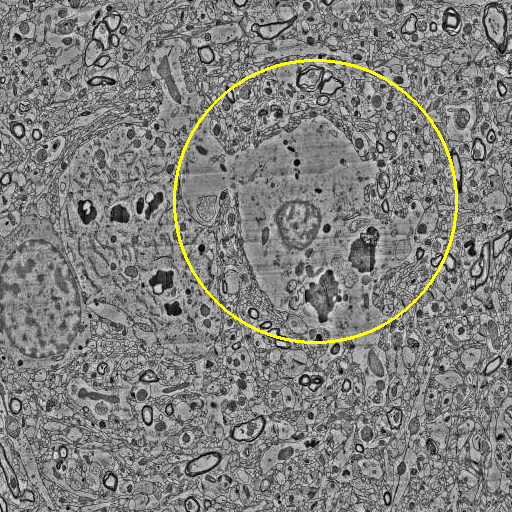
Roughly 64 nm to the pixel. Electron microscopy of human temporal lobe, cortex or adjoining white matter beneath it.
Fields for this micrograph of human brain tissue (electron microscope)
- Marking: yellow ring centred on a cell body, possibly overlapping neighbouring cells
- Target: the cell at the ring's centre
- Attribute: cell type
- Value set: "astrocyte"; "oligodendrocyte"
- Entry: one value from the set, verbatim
astrocyte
